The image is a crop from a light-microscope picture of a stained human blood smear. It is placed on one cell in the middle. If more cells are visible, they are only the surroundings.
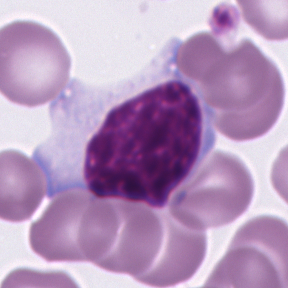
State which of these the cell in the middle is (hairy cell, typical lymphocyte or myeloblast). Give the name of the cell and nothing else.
typical lymphocyte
